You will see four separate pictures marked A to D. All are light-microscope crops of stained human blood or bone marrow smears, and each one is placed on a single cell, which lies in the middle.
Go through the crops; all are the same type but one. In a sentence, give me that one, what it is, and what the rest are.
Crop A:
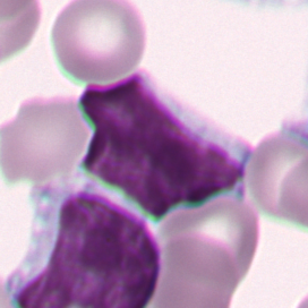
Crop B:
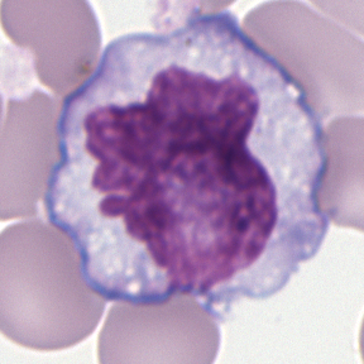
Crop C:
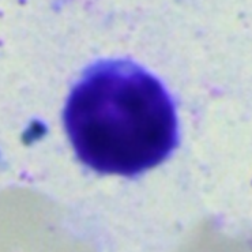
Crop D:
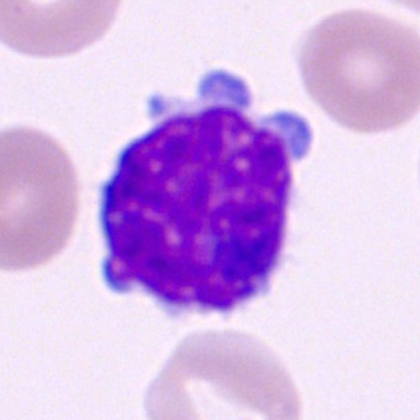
Crop B differs from the others in showing a monocyte; the rest all show lymphocytes.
